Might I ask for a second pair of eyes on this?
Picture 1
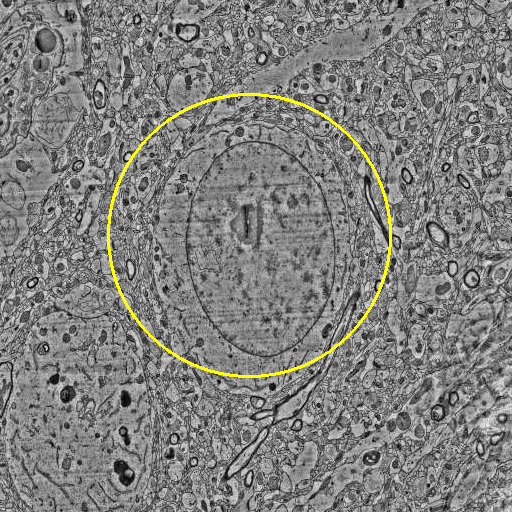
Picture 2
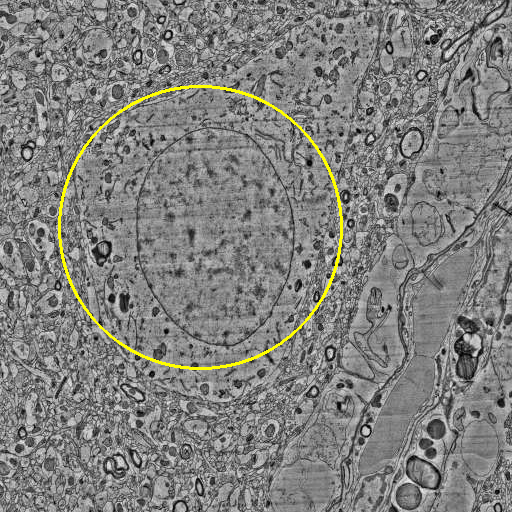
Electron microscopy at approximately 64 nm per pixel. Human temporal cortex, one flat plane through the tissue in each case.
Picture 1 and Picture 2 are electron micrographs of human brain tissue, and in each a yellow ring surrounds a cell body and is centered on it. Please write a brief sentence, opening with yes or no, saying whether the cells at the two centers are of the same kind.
Yes, the cells are of the same kind.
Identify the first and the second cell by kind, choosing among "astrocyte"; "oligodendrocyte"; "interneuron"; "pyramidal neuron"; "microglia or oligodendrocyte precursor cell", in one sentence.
Both the first and the second picture show a pyramidal neuron in the ring.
